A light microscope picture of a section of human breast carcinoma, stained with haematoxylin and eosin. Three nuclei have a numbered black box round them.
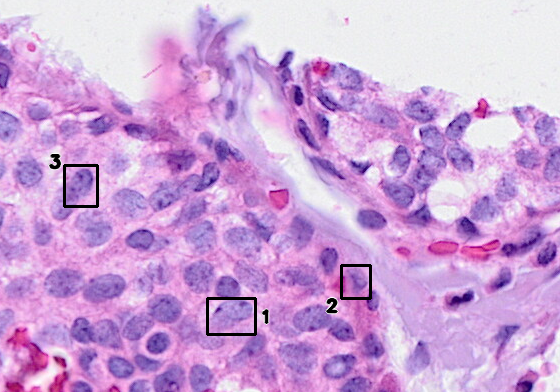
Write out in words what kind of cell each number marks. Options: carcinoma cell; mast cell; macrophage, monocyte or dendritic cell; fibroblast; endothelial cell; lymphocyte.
Cell 1 is a carcinoma cell, cell 2 is an endothelial cell and cell 3 is a carcinoma cell.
